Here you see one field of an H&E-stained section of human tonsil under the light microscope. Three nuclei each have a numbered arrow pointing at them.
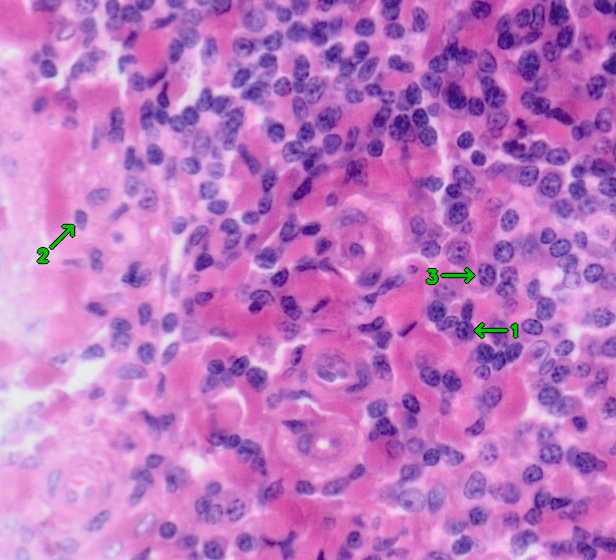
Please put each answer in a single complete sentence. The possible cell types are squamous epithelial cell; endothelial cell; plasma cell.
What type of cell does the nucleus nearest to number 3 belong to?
It is a plasma cell whose nucleus is nearest to number 3.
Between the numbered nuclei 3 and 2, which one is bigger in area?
The larger nucleus is 3, at roughly 1.5 times the area of 2.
